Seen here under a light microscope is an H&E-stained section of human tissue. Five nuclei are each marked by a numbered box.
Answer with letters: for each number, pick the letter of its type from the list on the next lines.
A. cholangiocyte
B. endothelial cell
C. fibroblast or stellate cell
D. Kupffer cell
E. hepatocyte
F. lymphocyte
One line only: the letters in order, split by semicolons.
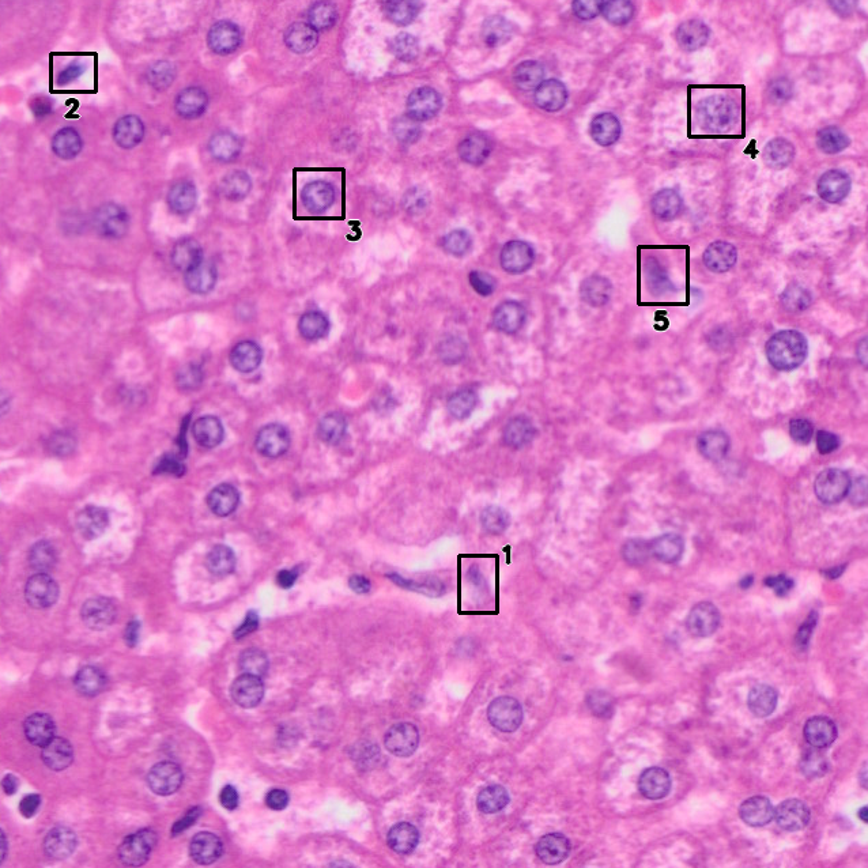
D; F; E; E; D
